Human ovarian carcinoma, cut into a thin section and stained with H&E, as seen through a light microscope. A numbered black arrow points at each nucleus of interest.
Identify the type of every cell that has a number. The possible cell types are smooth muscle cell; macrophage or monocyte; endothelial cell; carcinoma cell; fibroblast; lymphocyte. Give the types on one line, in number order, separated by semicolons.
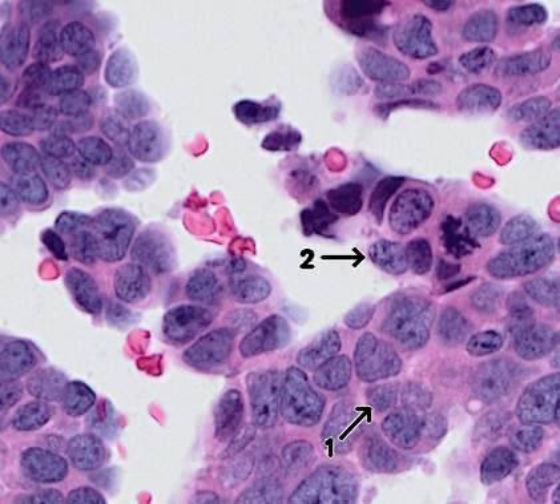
carcinoma cell; macrophage or monocyte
